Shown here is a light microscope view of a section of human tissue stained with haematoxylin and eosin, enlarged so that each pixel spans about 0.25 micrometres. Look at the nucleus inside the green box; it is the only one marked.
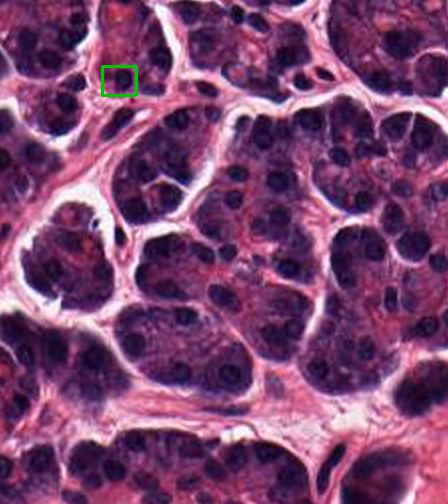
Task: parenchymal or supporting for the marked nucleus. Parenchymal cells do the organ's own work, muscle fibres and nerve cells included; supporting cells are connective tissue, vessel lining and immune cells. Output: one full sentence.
The marked nucleus is located in a parenchymal cell, namely a pancreatic acinar cell.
